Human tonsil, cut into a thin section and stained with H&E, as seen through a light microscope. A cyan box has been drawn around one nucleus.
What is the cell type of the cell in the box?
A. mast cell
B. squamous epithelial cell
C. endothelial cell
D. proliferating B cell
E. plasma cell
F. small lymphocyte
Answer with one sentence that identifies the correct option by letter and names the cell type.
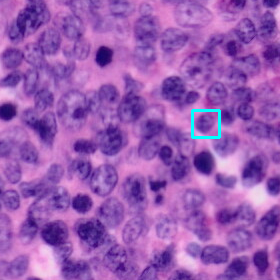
Option D is correct in stating that the cell in the box is a proliferating B cell.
